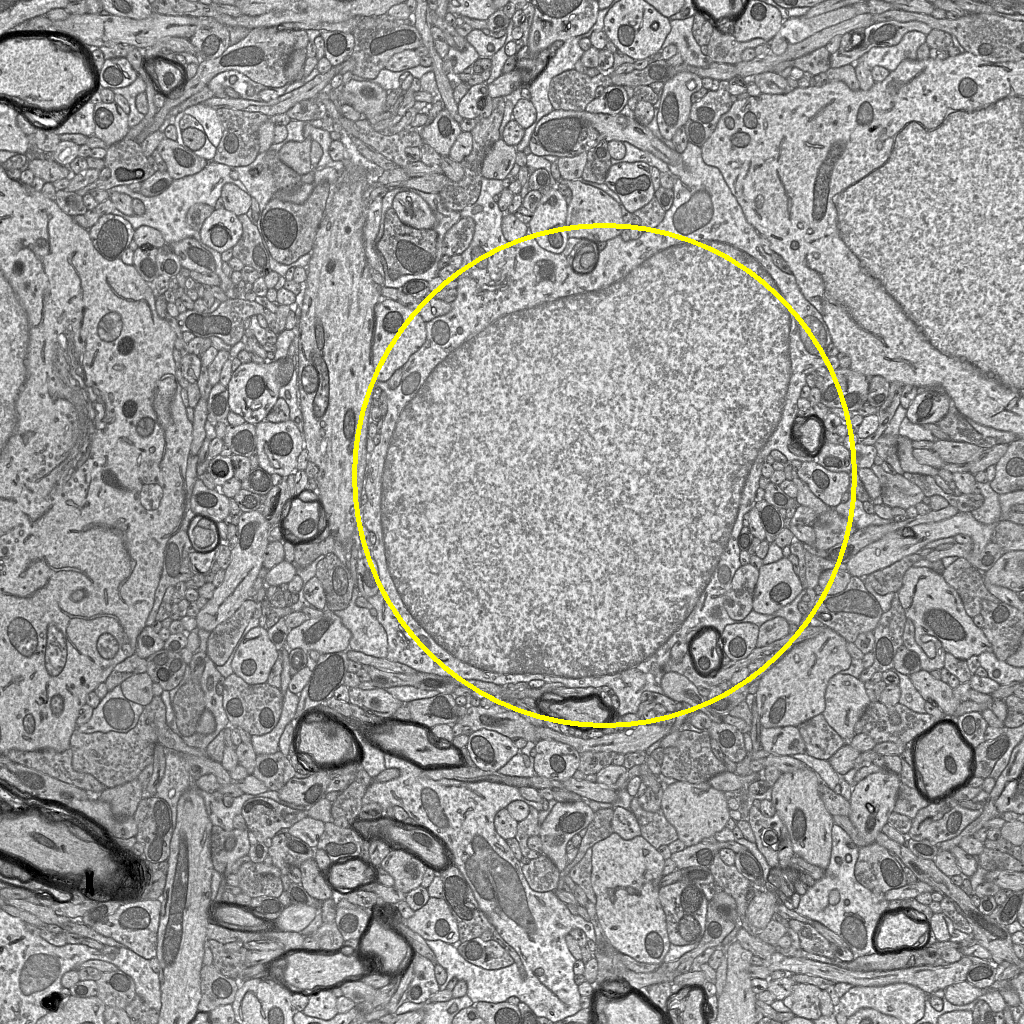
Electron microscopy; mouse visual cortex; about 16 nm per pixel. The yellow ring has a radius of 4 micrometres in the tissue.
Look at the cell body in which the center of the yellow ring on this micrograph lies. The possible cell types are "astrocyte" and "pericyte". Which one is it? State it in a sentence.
The cell at the middle of the ring is an astrocyte.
